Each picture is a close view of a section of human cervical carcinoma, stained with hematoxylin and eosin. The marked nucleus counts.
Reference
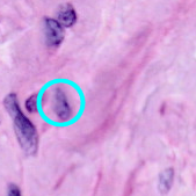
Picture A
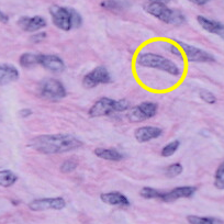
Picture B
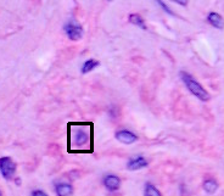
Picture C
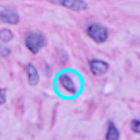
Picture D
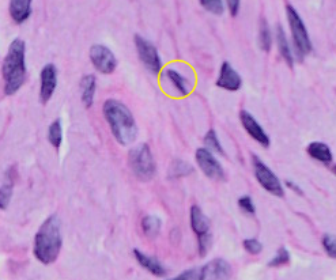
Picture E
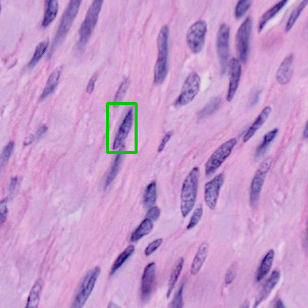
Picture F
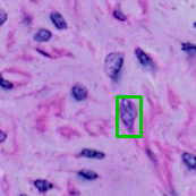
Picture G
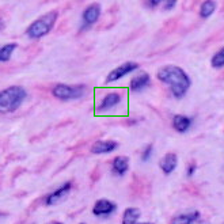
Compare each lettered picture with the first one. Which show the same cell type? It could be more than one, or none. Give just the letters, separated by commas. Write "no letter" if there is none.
D, E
